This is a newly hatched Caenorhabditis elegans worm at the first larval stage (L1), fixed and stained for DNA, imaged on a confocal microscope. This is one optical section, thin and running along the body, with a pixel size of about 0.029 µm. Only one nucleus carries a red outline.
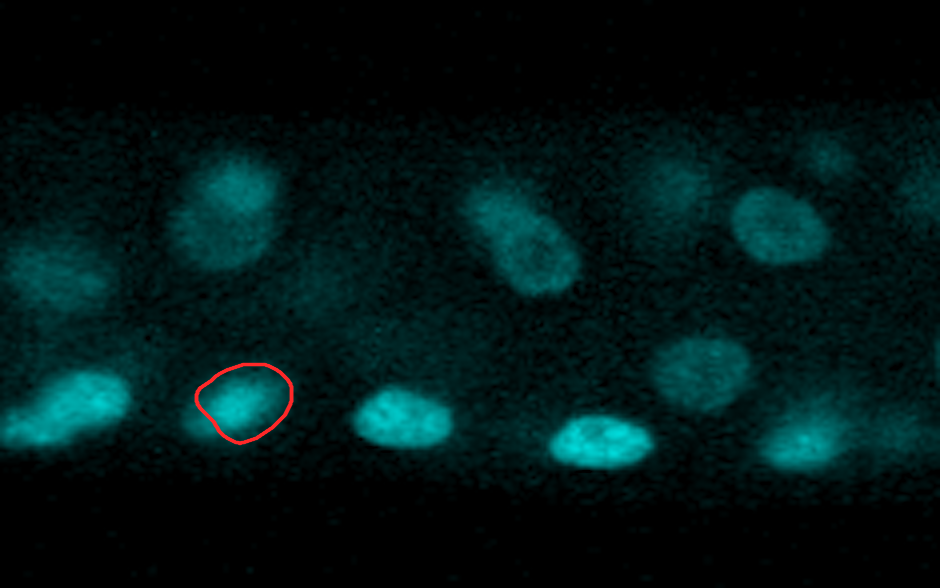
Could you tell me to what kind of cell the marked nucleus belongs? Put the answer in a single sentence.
The nucleus comes from a coelomocyte.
